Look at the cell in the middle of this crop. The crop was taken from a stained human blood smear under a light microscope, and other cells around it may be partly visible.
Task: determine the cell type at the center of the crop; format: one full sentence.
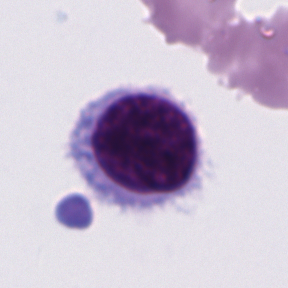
Standing at the centre of this crop is a hairy cell.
